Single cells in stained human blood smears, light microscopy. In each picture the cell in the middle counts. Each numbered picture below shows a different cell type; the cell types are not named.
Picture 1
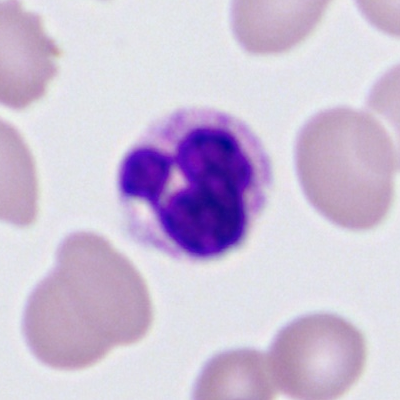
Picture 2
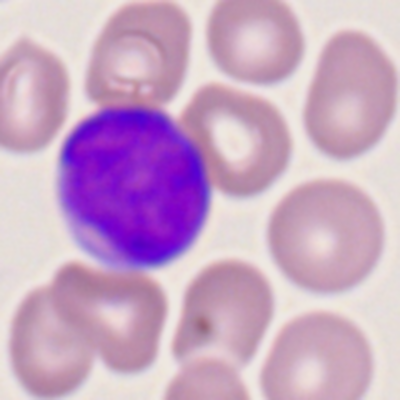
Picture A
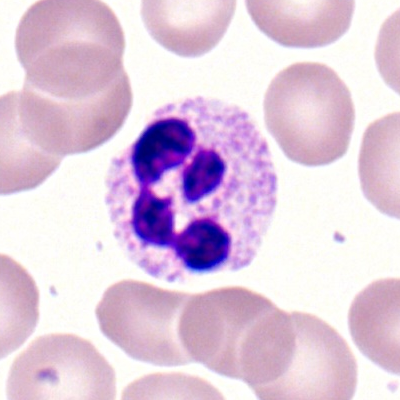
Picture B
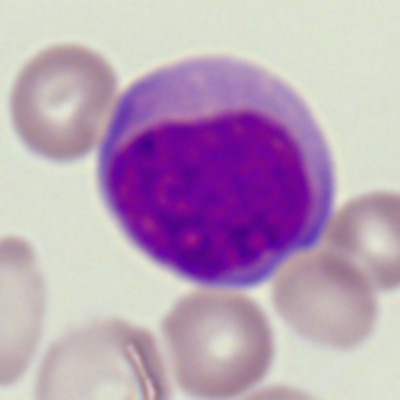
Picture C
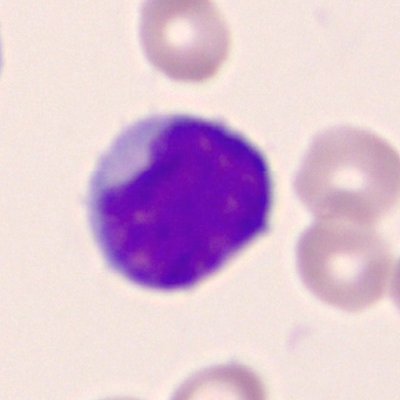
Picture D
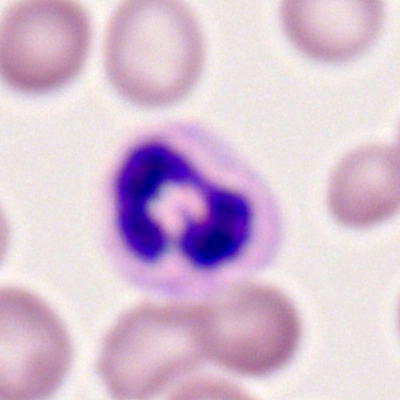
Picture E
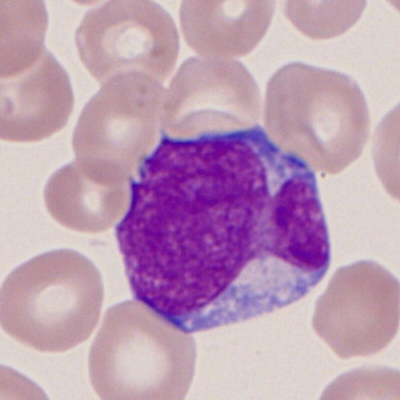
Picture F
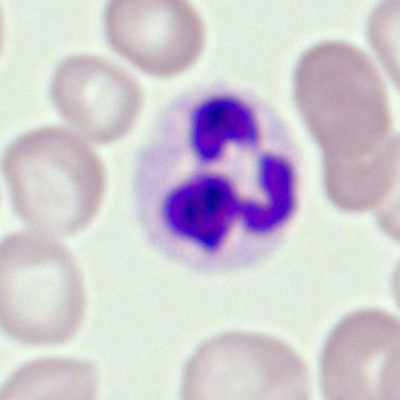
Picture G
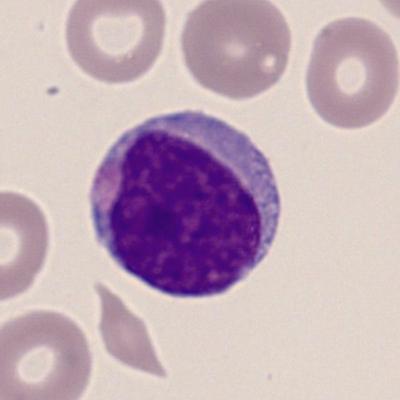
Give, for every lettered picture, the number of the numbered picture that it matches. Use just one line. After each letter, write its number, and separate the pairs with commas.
A 1, B 2, C 2, D 1, E 2, F 1, G 2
